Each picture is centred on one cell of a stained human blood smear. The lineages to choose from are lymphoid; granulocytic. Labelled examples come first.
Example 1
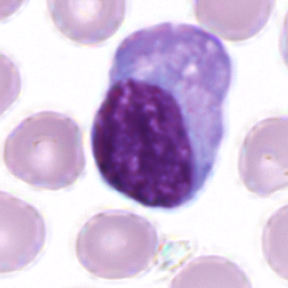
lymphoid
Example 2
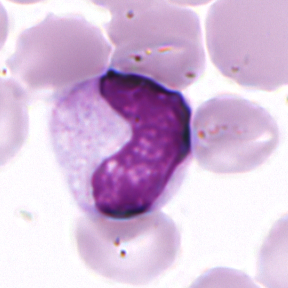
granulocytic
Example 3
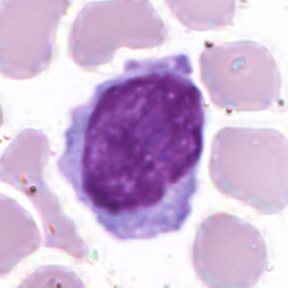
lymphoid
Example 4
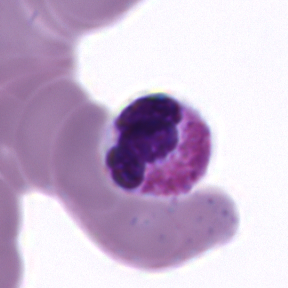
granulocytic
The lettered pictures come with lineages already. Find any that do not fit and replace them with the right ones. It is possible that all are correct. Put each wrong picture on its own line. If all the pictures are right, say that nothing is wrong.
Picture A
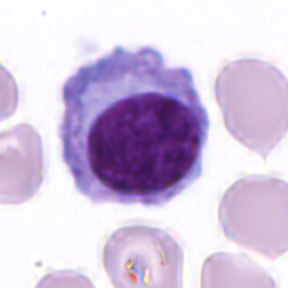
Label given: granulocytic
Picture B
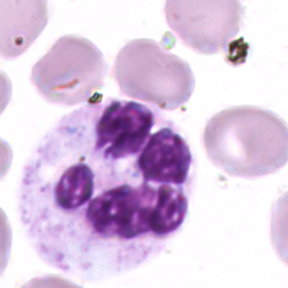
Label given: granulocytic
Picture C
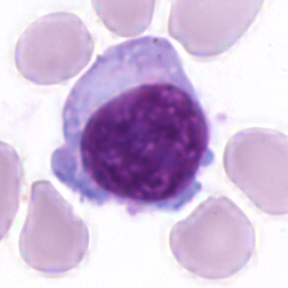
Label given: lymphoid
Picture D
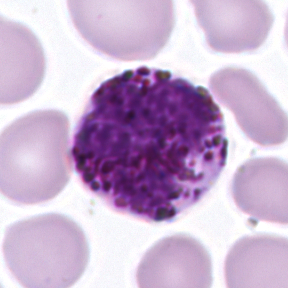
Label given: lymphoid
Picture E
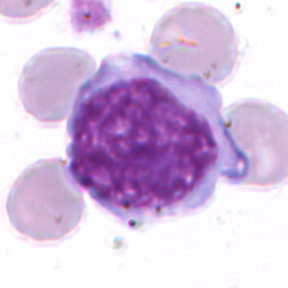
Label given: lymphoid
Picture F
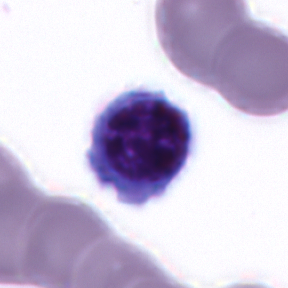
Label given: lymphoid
A: change granulocytic to lymphoid
D: change lymphoid to granulocytic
